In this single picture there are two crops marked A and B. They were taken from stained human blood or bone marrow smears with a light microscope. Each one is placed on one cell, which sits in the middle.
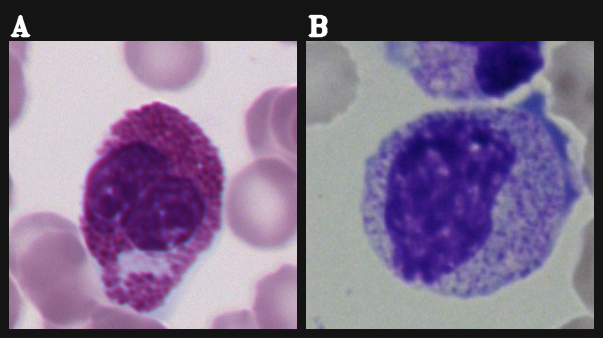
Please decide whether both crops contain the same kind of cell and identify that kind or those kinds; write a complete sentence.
No, in this case crop A shows an eosinophil, and crop B shows a myelocyte.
